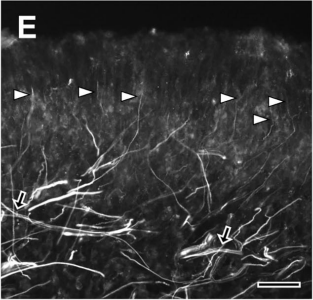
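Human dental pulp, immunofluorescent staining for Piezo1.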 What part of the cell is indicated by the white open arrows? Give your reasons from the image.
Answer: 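Axons. Bright, thin, wavy threads run in bundles near the bottom. The threads split into finer branches.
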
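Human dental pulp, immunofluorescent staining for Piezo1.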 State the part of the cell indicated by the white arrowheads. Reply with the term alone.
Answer: Axons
